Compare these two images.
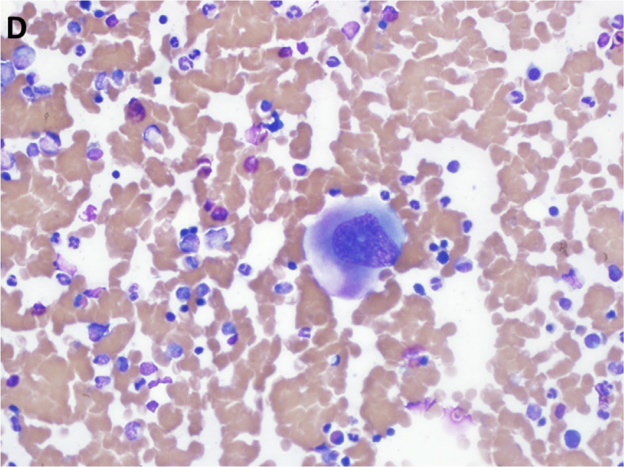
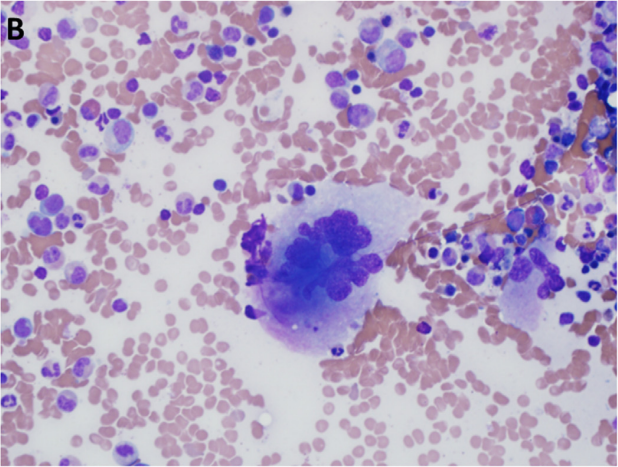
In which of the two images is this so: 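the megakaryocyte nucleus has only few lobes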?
The first image.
